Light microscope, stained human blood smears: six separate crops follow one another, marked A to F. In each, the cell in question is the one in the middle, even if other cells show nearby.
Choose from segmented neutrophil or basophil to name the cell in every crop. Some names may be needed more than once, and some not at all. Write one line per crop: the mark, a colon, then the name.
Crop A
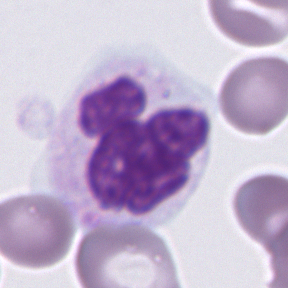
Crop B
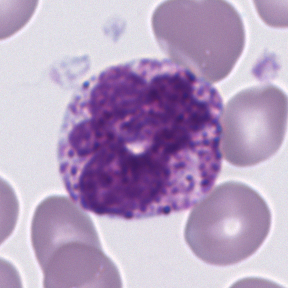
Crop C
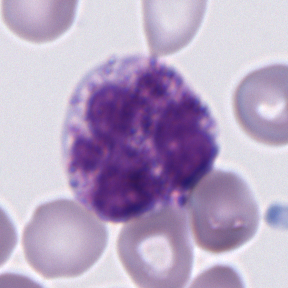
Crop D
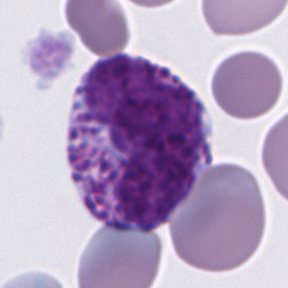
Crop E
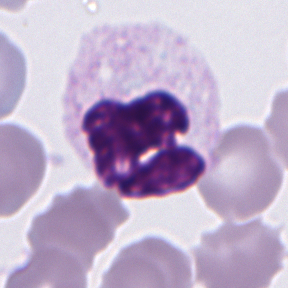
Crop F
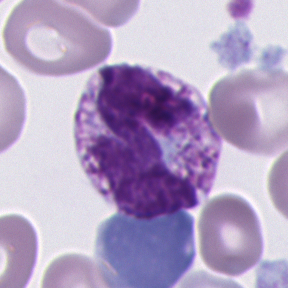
A: segmented neutrophil
B: basophil
C: basophil
D: basophil
E: segmented neutrophil
F: basophil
